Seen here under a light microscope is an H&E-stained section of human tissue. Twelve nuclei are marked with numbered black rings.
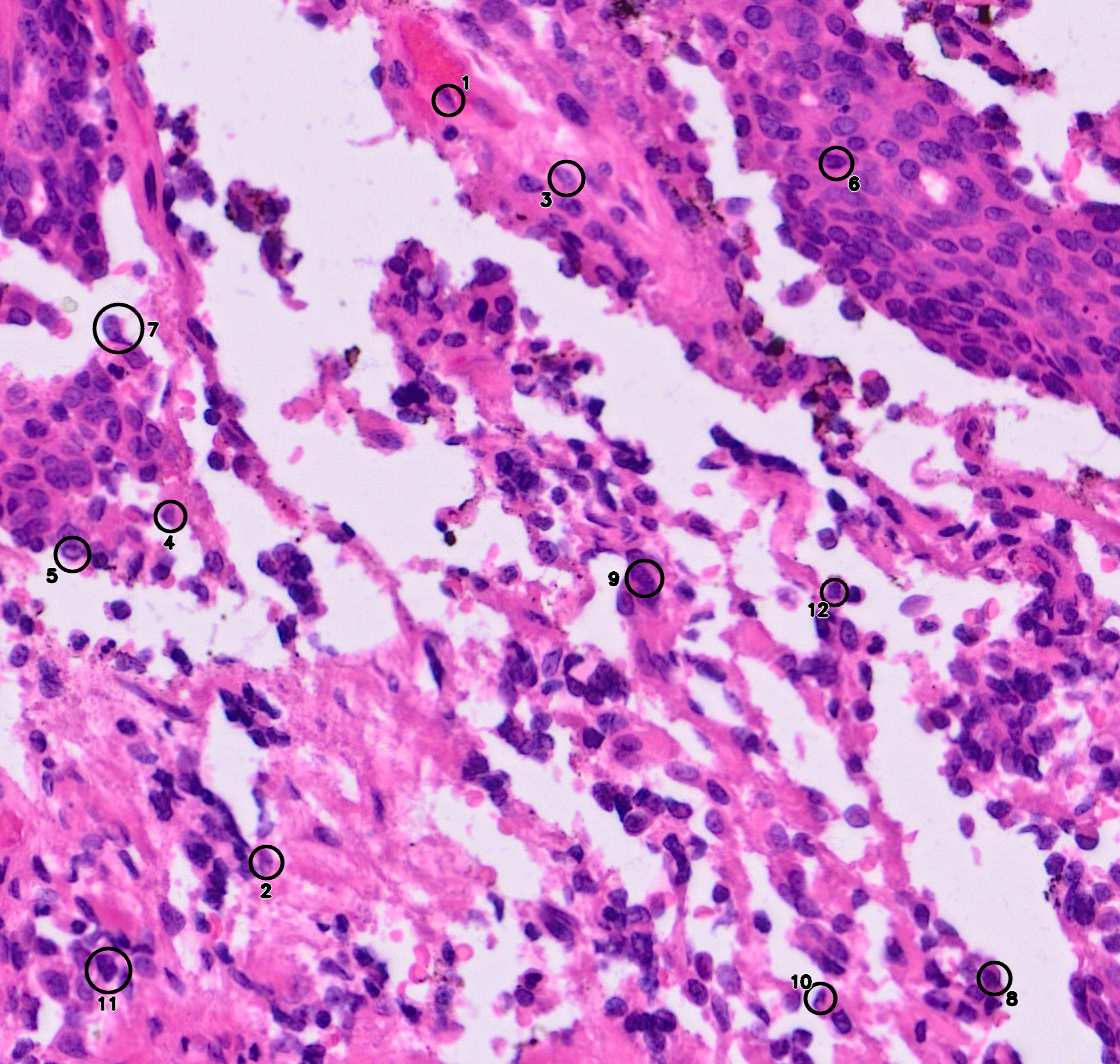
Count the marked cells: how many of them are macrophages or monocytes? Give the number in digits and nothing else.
6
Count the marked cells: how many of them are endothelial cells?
1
